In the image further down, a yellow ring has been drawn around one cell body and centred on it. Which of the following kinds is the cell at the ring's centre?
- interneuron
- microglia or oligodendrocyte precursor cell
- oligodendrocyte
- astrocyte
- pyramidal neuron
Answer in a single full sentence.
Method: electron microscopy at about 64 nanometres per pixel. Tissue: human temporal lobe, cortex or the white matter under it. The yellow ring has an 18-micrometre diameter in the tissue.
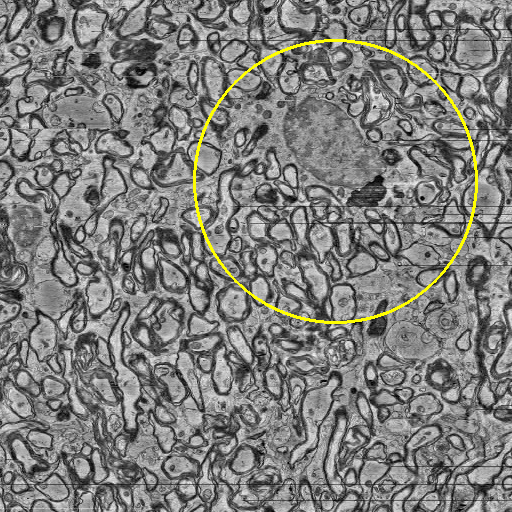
In the picture, the cell sitting at the centre of the yellow ring is an oligodendrocyte.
